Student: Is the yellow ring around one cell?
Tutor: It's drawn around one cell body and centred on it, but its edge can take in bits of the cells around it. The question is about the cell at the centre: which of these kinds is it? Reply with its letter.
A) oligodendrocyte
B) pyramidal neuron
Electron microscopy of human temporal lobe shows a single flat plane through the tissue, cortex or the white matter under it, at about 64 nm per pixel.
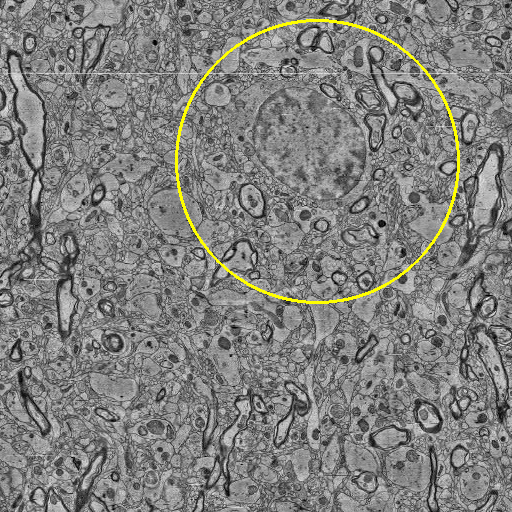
A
